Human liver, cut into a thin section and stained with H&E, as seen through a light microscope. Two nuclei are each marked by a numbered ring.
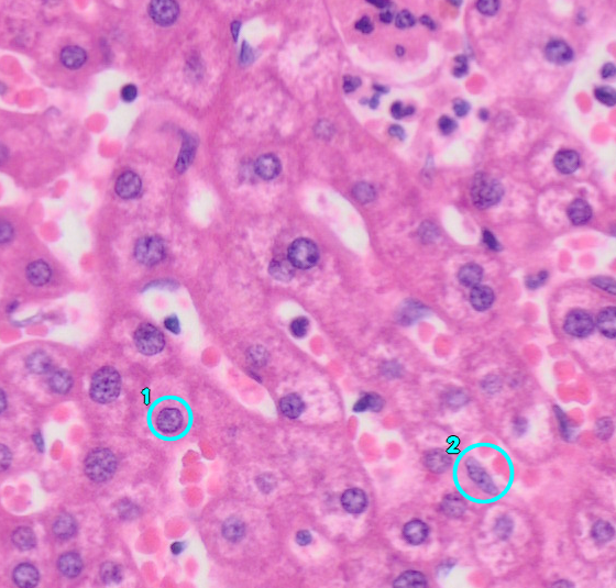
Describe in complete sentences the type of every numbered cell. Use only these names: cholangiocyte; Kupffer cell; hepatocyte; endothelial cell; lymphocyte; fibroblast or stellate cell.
Cell 1 is a hepatocyte. Cell 2 is a Kupffer cell.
